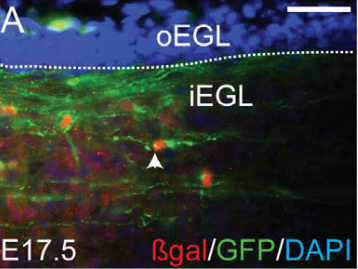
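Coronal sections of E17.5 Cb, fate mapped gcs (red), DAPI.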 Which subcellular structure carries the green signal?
Parallel fibers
